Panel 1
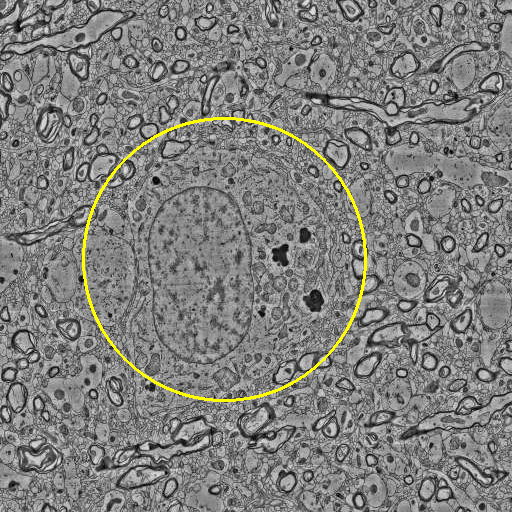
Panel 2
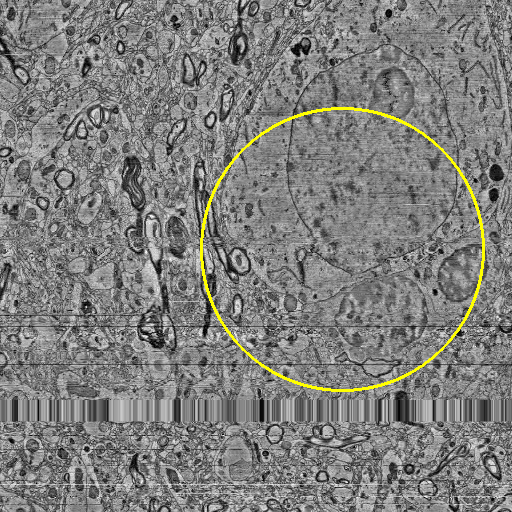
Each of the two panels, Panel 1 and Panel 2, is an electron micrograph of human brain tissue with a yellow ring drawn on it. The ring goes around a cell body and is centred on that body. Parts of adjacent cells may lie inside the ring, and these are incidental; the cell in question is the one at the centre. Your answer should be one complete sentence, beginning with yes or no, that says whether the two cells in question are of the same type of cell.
No, the two cells are of two types.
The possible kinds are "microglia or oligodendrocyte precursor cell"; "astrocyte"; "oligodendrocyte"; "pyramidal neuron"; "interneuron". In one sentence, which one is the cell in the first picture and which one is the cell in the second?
The cell ringed in the second picture is a pyramidal neuron, whereas the one ringed in the first is an interneuron.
